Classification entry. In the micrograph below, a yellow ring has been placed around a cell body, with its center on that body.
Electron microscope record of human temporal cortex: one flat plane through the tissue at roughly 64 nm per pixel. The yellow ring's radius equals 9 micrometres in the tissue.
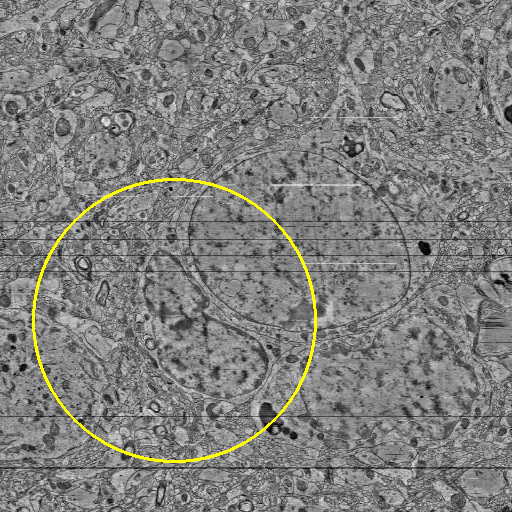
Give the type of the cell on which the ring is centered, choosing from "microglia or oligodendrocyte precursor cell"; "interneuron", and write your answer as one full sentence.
The cell body at the center of the yellow ring belongs to a microglial cell or oligodendrocyte precursor cell.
